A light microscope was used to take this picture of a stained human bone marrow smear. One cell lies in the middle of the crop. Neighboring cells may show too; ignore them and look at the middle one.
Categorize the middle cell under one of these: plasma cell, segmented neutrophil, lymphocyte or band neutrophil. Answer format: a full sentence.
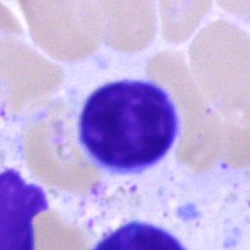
Seen at the centre of the crop is a lymphocyte.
